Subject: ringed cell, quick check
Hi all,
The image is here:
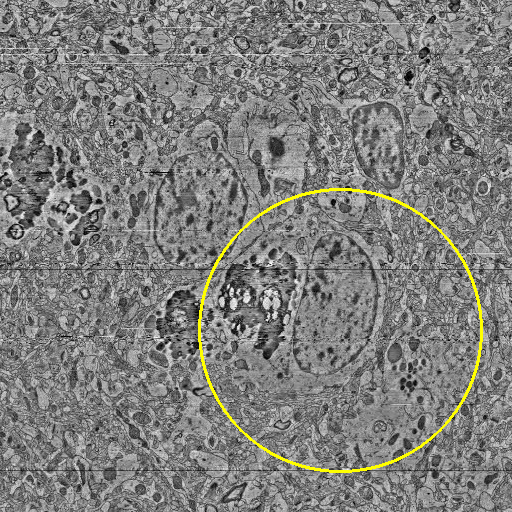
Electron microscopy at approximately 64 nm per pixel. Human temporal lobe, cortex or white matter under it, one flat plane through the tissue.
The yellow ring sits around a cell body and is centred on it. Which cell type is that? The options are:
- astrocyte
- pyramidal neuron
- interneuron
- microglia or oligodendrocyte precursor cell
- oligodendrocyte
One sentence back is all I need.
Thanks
That ringed cell is an astrocyte.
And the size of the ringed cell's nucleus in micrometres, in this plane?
Roughly 9 by 5 micrometres; in this plane, clearly longer than it is wide.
